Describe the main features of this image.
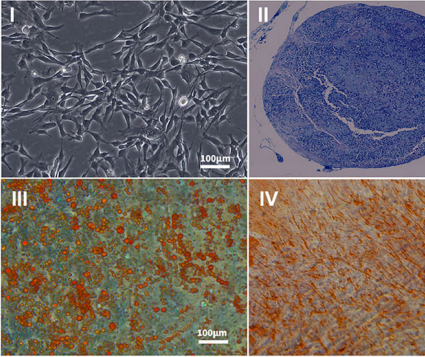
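The first image shows a monolayer of elongated spindle-shaped cells with slender processes under phase contrast, a fibroblast-like appearance. The second shows a round, compact section of densely packed cells in a blue-staining matrix, a cartilage-like pellet; the third shows cells packed with round red-orange droplets, as fat-laden cells; the fourth shows elongated cells in parallel streams with brownish-red deposits among them.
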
